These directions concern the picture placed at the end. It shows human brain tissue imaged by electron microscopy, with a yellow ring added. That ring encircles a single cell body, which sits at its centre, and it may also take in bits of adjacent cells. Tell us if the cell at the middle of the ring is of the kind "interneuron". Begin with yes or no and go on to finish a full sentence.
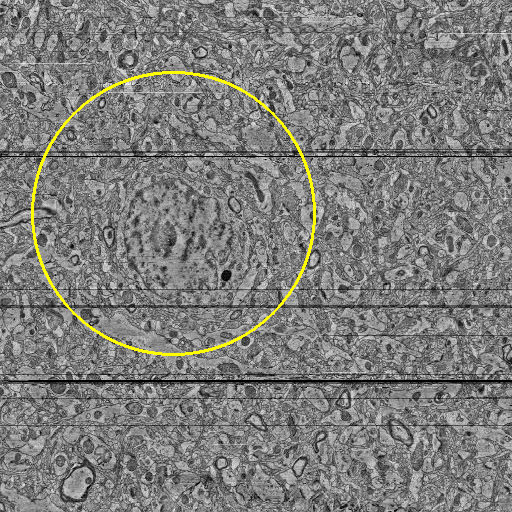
Yes, the cell sitting at the centre of the yellow ring in the picture is of that kind.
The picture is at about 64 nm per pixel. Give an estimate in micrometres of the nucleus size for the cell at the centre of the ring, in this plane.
In this plane, approximately 7 micrometres across.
